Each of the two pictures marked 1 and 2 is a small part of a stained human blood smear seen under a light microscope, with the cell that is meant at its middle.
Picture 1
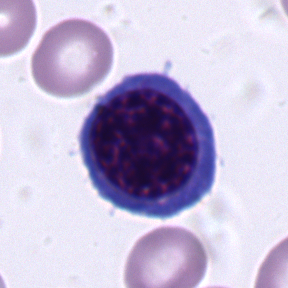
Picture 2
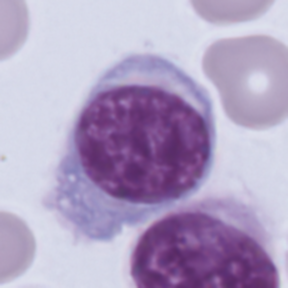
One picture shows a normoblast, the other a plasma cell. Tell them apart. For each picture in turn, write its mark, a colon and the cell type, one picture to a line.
1: normoblast
2: plasma cell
